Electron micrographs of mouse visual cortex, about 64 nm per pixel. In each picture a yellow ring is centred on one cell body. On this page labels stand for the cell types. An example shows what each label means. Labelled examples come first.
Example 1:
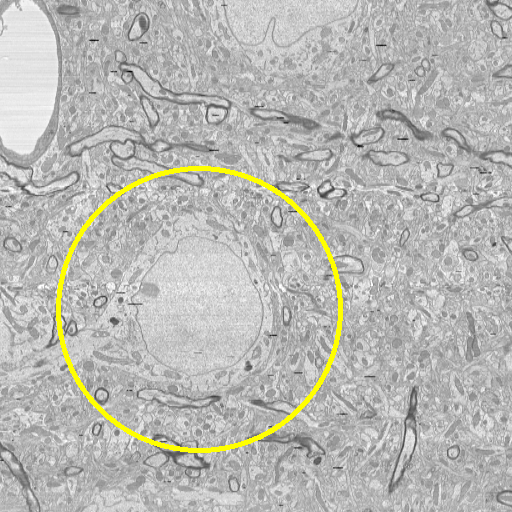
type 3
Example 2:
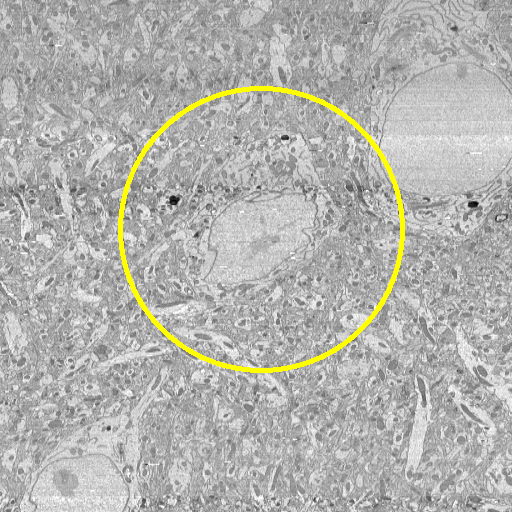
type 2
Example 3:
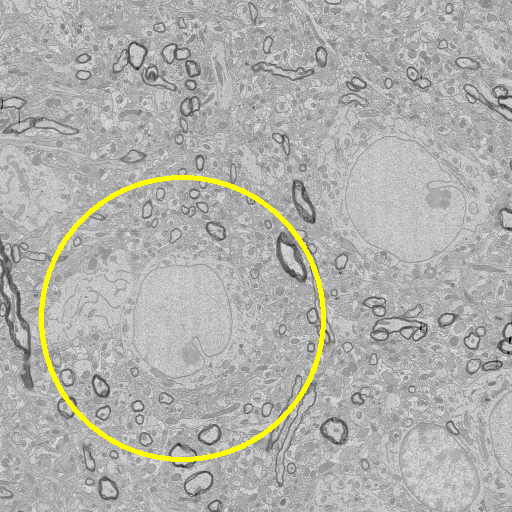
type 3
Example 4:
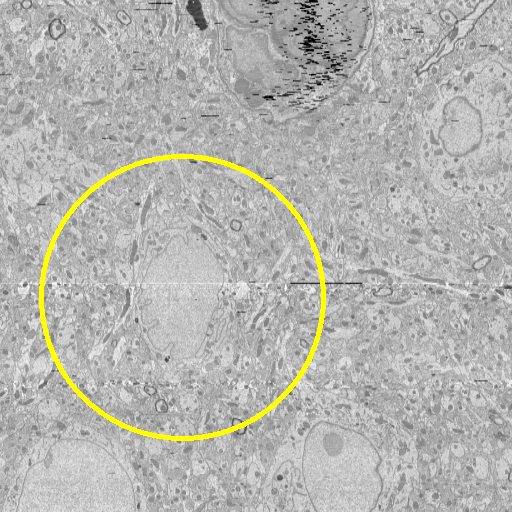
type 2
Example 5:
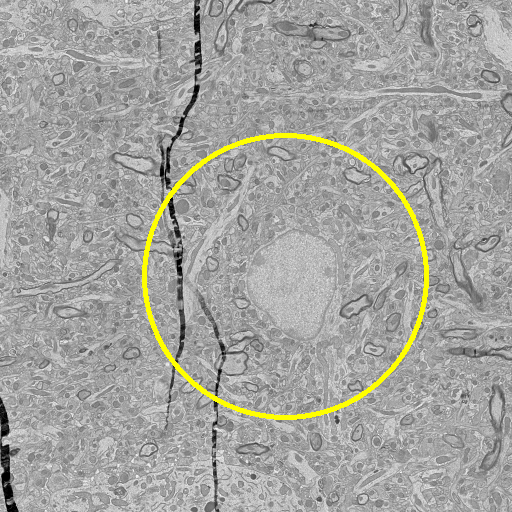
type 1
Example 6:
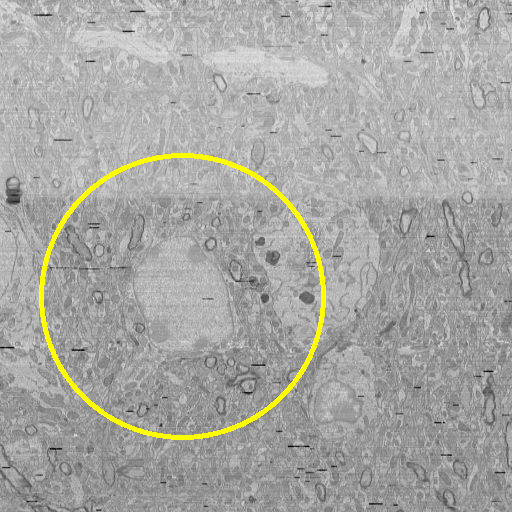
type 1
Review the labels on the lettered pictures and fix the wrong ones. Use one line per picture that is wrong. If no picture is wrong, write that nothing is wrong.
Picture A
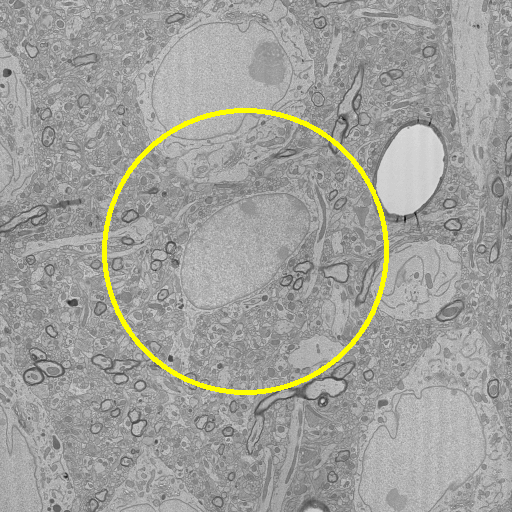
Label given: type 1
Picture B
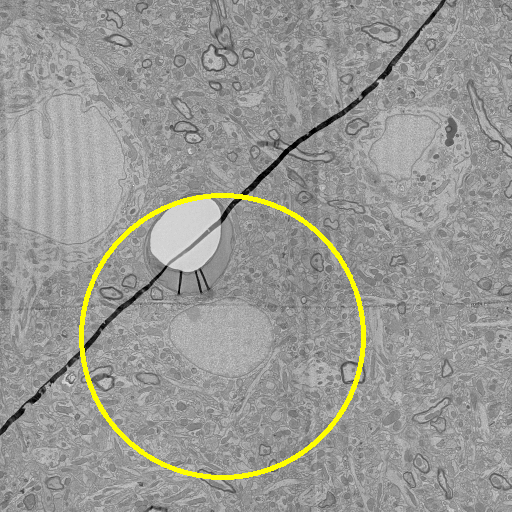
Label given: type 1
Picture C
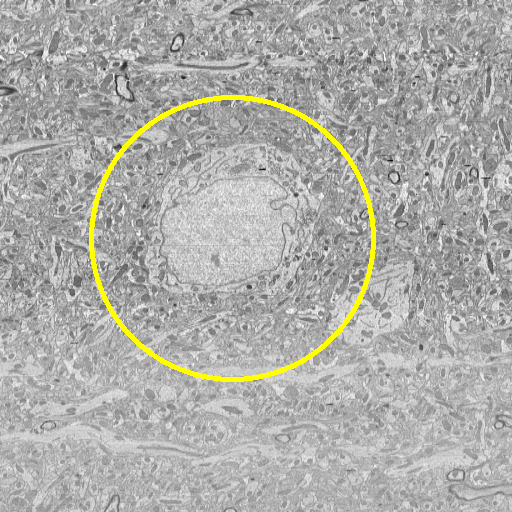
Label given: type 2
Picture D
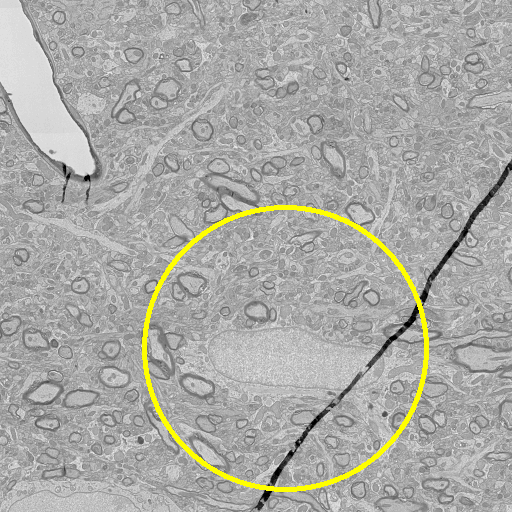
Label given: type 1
Every label is right.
